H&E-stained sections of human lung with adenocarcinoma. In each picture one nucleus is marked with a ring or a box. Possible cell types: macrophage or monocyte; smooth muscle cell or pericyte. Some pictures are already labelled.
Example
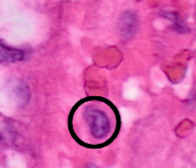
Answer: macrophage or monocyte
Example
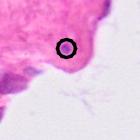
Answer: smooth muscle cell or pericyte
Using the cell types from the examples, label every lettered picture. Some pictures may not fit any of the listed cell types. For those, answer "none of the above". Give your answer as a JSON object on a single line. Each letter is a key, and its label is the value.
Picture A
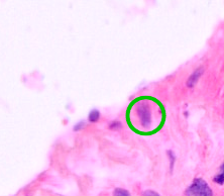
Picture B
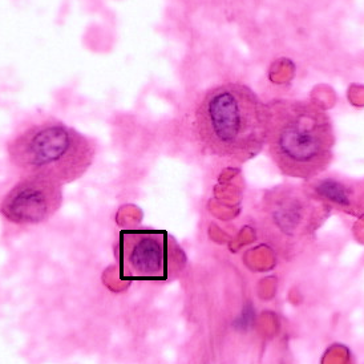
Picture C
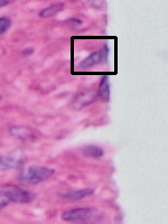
{"A": "smooth muscle cell or pericyte", "B": "macrophage or monocyte", "C": "smooth muscle cell or pericyte"}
